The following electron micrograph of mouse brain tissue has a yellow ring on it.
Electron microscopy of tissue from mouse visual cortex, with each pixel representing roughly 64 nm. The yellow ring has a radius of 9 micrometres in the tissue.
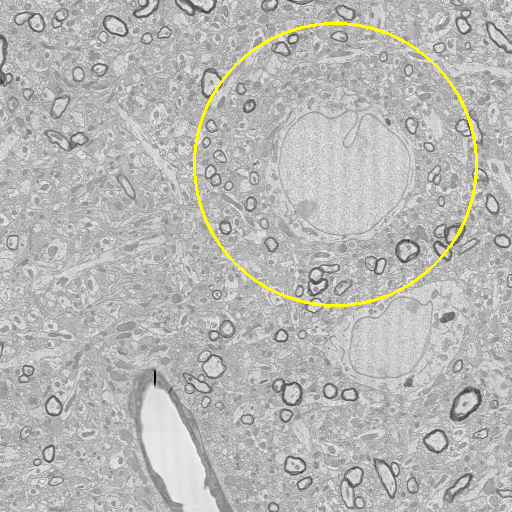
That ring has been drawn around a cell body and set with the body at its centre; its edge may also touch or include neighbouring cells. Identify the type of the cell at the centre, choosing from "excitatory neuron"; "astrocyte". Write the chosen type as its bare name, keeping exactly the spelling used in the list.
excitatory neuron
